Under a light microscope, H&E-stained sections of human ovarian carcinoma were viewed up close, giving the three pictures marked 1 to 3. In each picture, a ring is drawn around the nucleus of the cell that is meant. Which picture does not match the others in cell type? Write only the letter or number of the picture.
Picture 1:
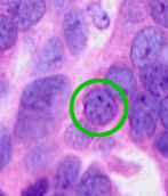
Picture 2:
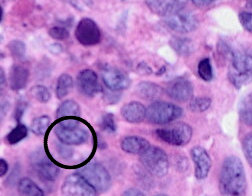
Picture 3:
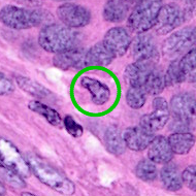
3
